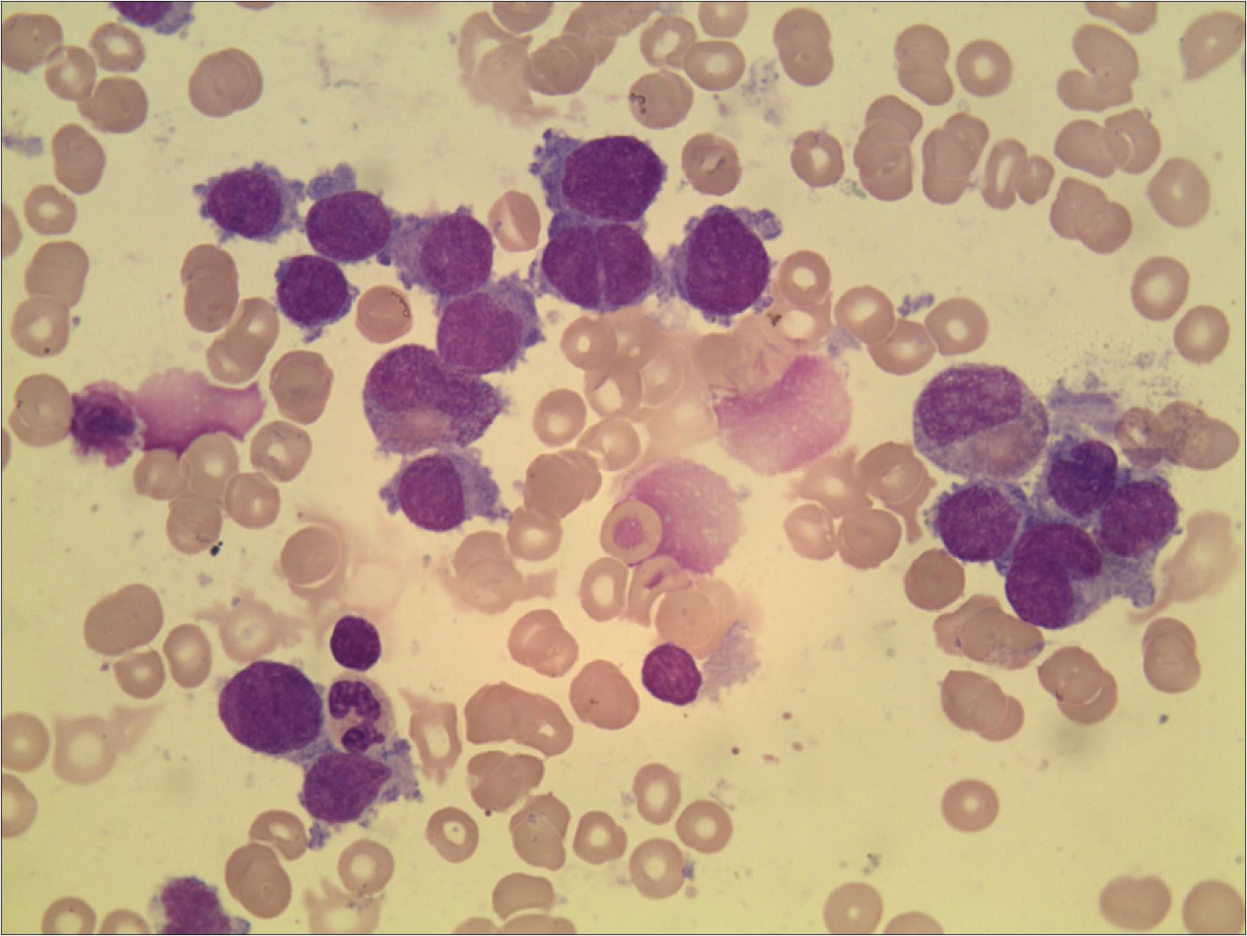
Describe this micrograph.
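This bone marrow smear shows clusters of immature megakaryocytes among many pale pink red blood cells. The immature megakaryocytes are nearly round, medium to large cells with round or slightly indented nuclei of finely granular, deep purple chromatin, and one appears to have a double nucleus. Their cytoplasm is scant and pale blue-grey, and their edges are ragged, forming cloud-like or flocculent projections. Small lilac, granular fragments lying free between the cells are consistent with platelets. A segmented neutrophil with a lobed nucleus and a few other smaller nucleated cells are also present. Some cells are ruptured, leaving smeared pink cytoplasm.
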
